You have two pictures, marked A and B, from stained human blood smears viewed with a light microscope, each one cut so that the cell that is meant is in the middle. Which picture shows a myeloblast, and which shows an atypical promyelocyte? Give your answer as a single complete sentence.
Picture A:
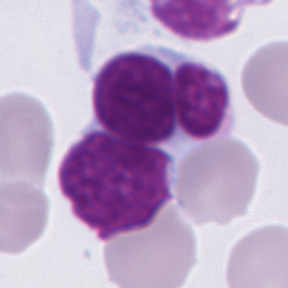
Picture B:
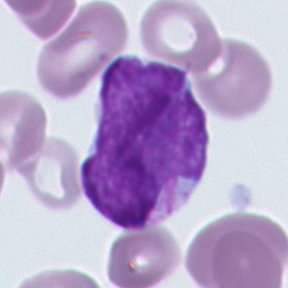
The cell in picture A is a myeloblast, and the one in picture B is an atypical promyelocyte.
